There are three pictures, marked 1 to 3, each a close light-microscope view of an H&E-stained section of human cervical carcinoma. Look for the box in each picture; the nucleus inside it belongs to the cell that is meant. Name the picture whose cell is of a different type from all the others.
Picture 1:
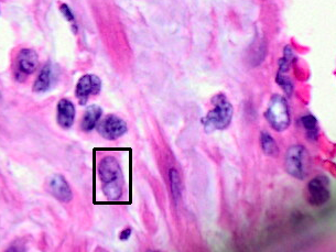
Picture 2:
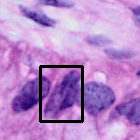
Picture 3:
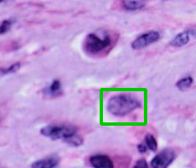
2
